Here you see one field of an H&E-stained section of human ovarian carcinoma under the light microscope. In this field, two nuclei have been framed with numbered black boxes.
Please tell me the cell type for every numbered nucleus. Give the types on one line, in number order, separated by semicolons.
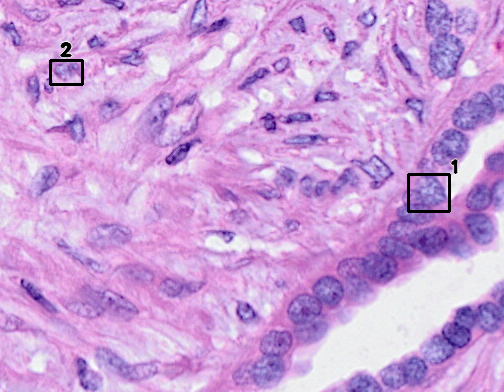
carcinoma cell; fibroblast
